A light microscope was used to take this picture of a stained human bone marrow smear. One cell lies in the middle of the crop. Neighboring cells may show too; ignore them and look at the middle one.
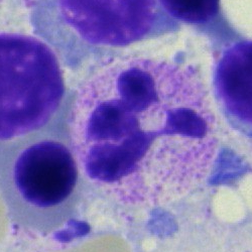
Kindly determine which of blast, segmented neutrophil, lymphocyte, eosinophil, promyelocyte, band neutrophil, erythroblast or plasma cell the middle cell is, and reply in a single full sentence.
The middle position in this crop is taken by a segmented neutrophil.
